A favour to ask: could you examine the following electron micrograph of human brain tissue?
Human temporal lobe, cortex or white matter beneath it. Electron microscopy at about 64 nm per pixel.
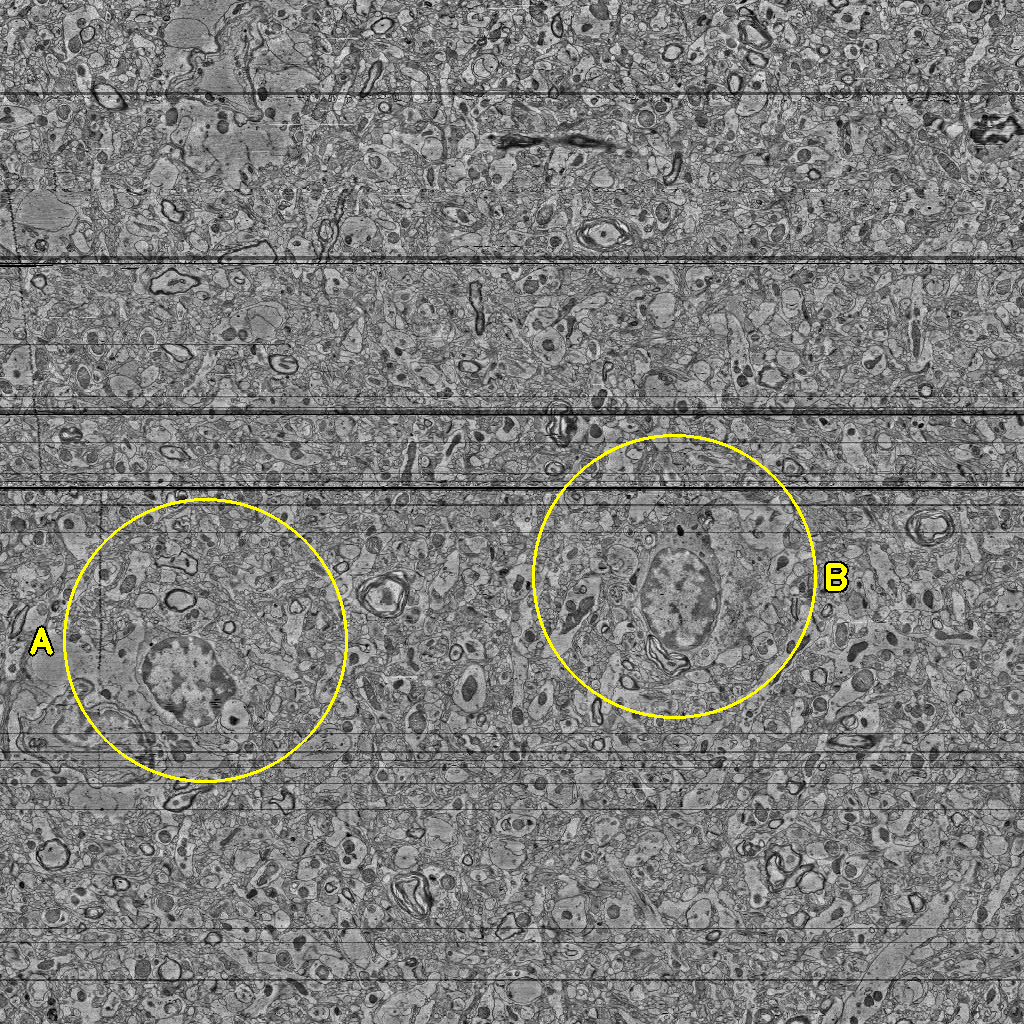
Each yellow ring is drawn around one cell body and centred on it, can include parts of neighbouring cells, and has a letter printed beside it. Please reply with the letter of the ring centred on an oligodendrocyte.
B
